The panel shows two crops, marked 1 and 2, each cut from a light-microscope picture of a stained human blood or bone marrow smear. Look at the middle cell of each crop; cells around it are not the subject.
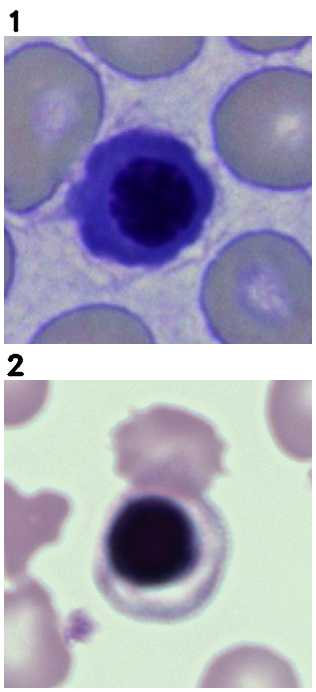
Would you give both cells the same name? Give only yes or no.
yes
